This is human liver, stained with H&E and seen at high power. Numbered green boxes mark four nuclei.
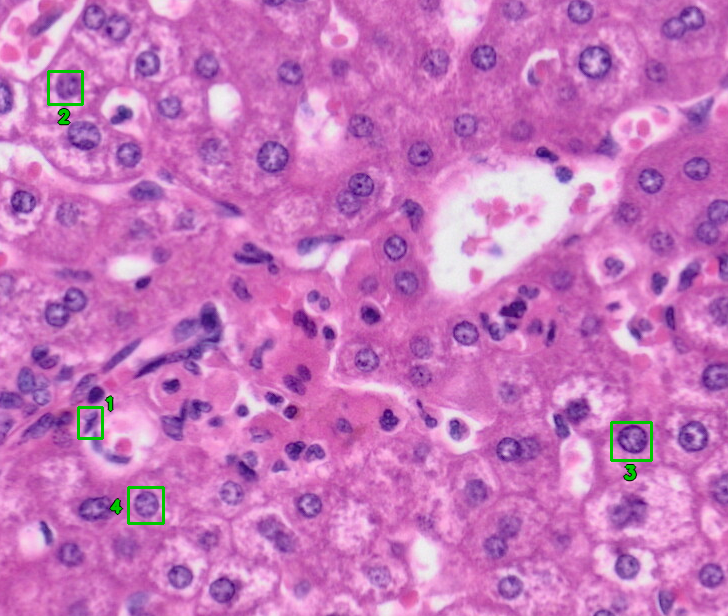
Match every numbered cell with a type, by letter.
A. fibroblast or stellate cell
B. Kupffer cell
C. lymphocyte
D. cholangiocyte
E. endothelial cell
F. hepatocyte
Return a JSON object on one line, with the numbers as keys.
{"1": "A", "2": "F", "3": "F", "4": "F"}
